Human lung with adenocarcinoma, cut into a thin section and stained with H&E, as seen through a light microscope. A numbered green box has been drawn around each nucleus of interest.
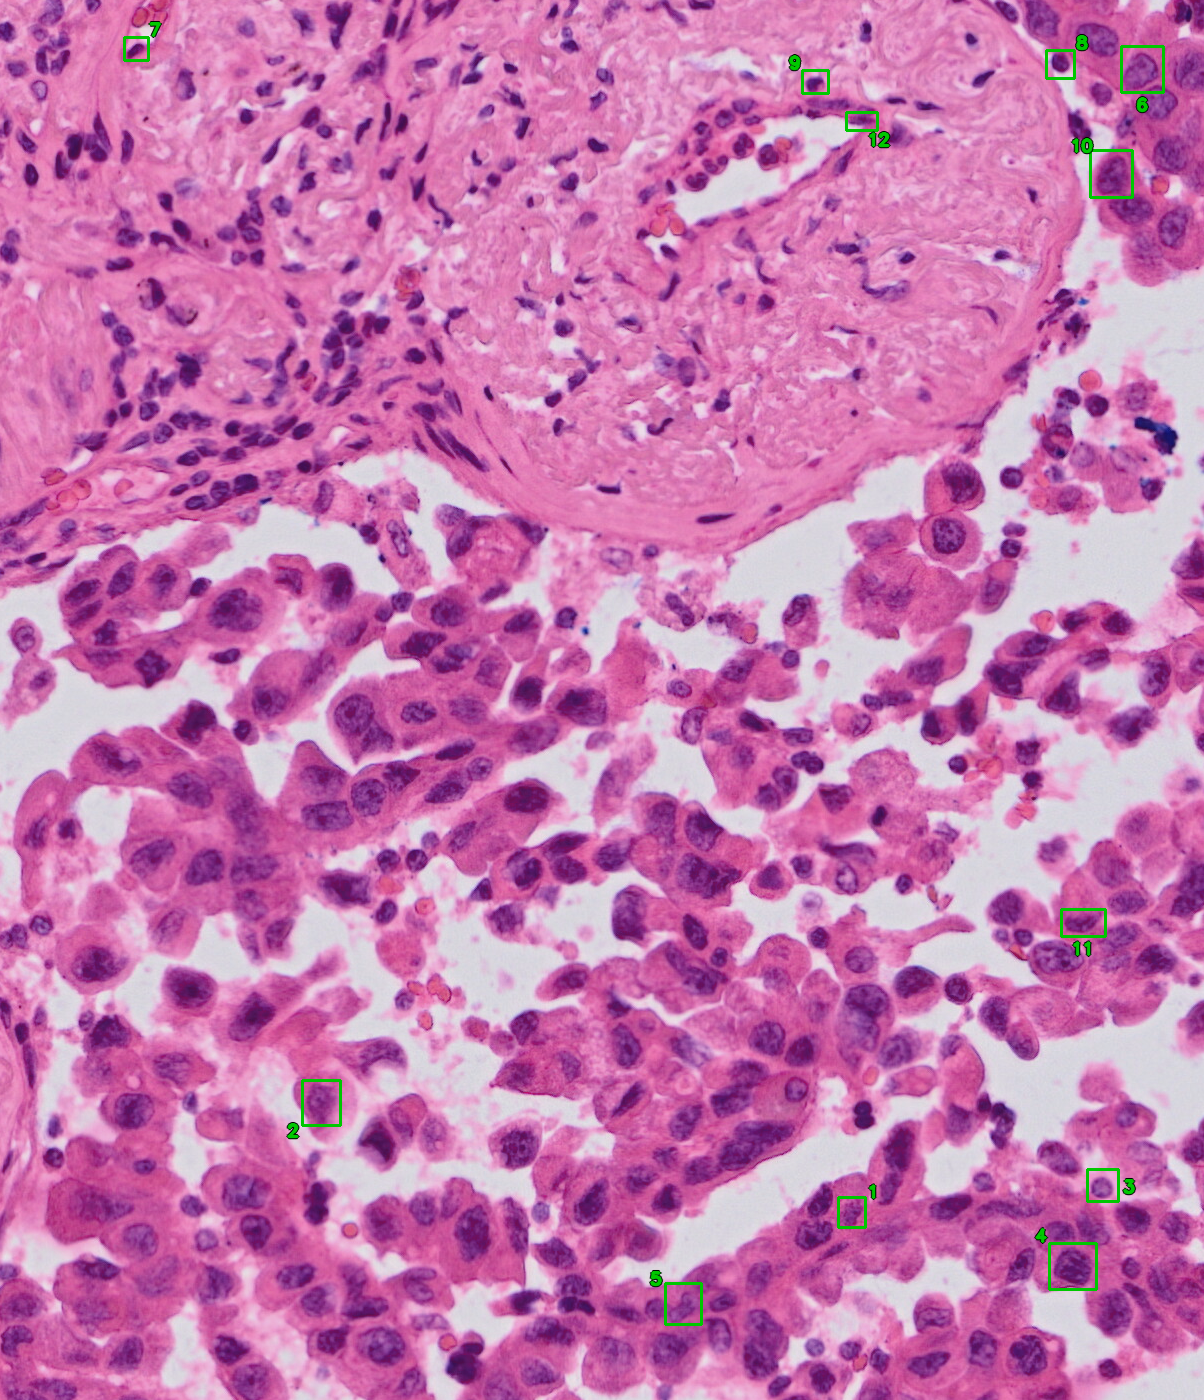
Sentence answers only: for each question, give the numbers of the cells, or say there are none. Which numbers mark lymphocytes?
Cells 3, 8 and 9 in the section are typed as lymphocytes.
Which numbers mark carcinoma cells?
To be specific, the cells numbered 1, 2, 4, 5, 6, 10 and 11 are carcinoma cells.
